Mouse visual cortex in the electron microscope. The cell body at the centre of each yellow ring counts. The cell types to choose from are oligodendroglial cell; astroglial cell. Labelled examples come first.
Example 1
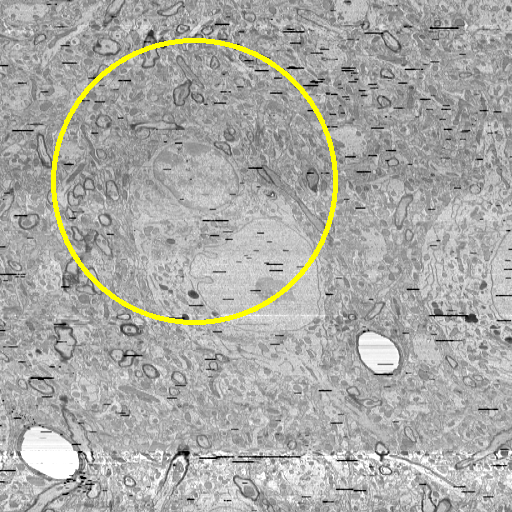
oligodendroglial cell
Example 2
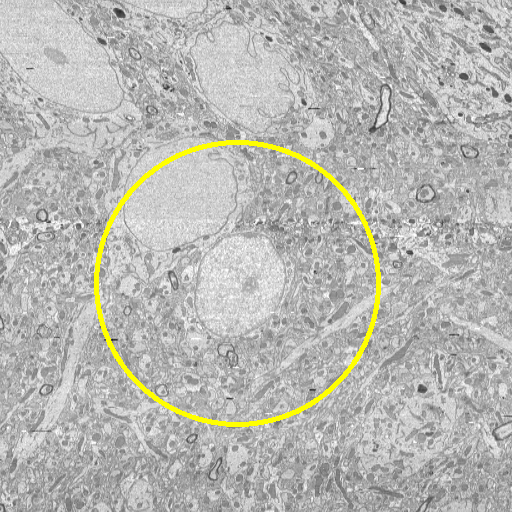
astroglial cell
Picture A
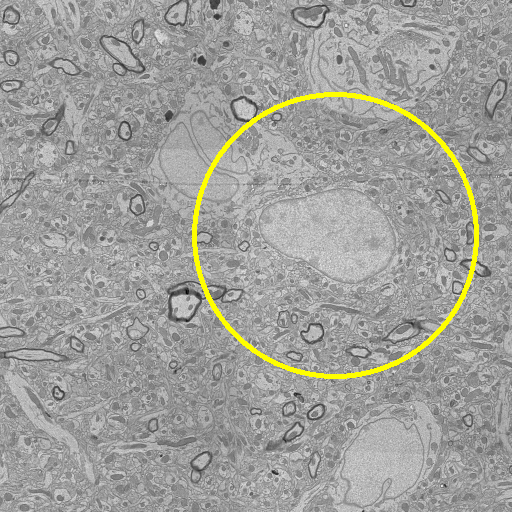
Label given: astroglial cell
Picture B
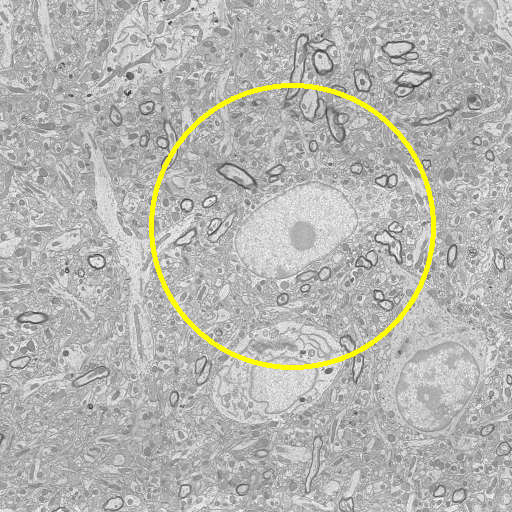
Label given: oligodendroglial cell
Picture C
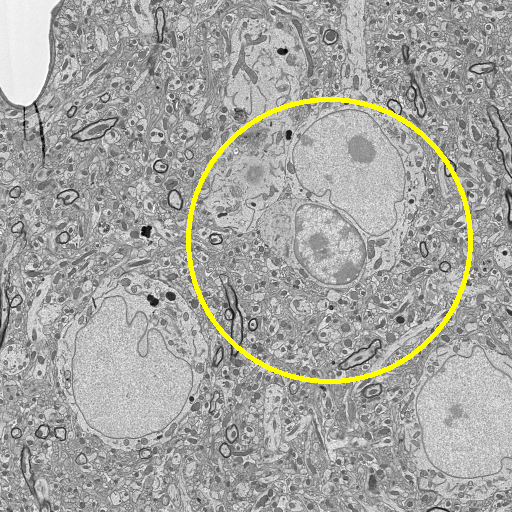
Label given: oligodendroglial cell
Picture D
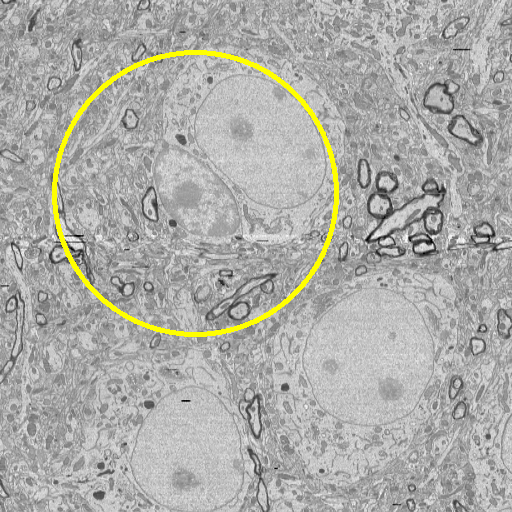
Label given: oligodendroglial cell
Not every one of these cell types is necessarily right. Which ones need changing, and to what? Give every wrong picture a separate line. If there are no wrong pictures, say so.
Wrong: B (oligodendroglial cell); correct: astroglial cell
